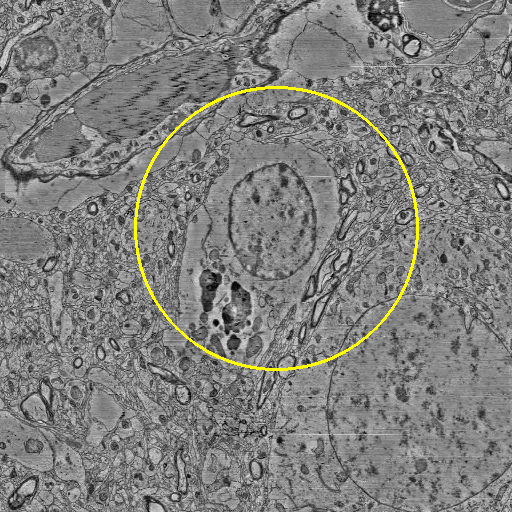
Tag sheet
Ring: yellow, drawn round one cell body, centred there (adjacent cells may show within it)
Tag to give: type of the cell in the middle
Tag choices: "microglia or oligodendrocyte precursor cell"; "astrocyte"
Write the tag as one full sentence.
I tag the cell centred in the yellow ring as an astrocyte in this picture.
